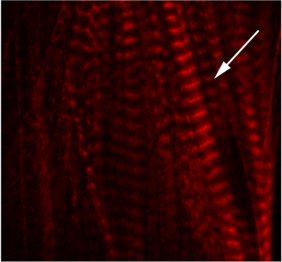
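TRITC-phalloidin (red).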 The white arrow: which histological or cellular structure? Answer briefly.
Sarcomeric thin filaments.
